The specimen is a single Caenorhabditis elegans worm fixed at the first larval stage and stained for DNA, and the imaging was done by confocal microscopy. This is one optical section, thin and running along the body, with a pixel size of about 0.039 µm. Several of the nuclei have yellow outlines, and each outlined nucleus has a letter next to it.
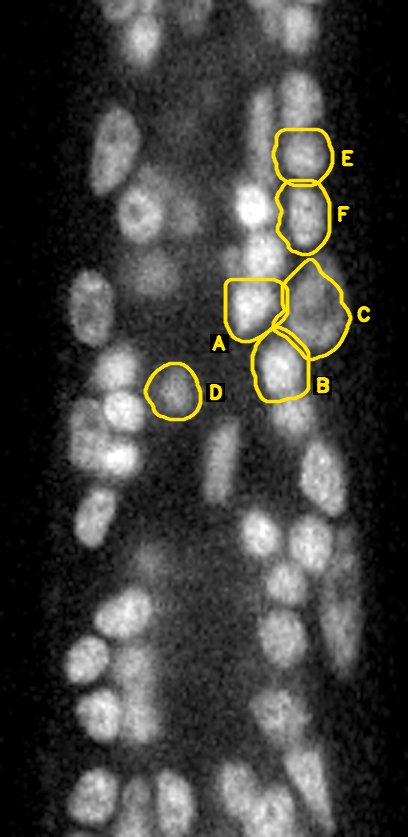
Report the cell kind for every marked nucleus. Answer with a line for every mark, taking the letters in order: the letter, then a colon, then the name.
A: neuron
B: neuron
C: hypodermal cell (hyp)
D: neuron
E: hypodermal cell (hyp)
F: hypodermal cell (hyp)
